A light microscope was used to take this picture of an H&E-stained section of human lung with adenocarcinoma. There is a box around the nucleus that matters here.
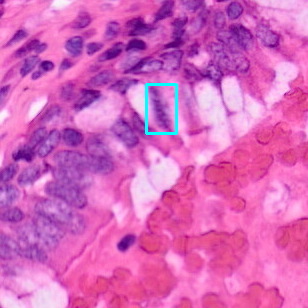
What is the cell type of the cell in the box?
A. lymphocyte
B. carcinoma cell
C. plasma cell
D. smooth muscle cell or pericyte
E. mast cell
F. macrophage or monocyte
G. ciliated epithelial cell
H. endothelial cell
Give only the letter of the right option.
G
